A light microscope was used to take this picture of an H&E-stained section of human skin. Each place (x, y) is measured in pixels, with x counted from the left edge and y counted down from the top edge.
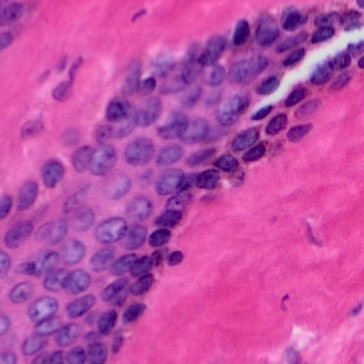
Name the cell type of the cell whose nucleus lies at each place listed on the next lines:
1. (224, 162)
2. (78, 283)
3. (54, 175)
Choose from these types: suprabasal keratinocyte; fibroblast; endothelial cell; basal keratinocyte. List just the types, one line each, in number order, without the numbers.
basal keratinocyte
suprabasal keratinocyte
basal keratinocyte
